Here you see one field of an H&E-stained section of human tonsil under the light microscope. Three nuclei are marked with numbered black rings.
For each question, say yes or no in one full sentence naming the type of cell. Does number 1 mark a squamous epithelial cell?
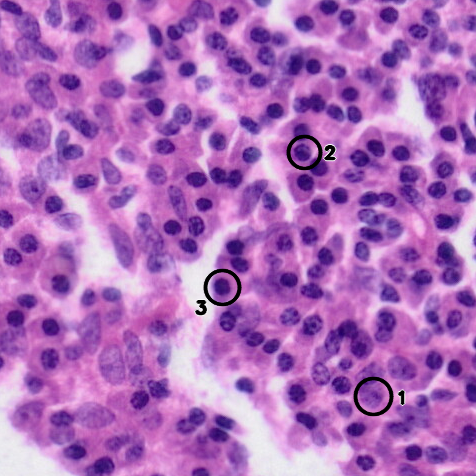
Yes, the cell at marker 1 is a squamous epithelial cell.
